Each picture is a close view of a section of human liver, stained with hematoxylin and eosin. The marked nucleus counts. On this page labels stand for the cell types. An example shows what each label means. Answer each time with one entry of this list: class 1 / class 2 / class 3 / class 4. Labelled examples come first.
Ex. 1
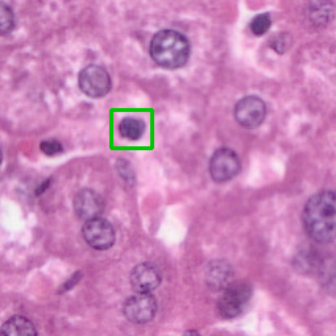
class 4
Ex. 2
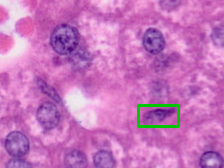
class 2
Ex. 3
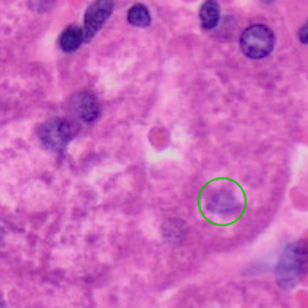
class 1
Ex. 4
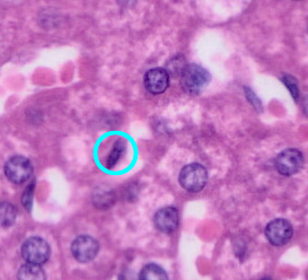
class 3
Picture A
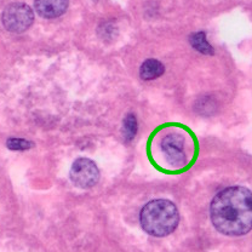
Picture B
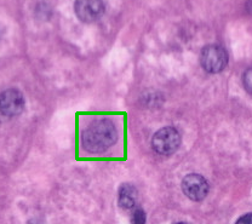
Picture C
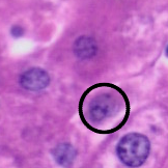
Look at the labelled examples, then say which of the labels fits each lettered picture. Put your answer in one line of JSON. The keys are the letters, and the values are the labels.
{"A": "class 3", "B": "class 3", "C": "class 3"}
